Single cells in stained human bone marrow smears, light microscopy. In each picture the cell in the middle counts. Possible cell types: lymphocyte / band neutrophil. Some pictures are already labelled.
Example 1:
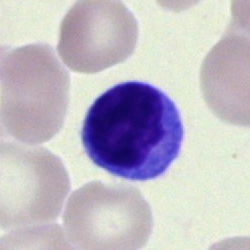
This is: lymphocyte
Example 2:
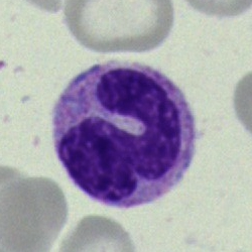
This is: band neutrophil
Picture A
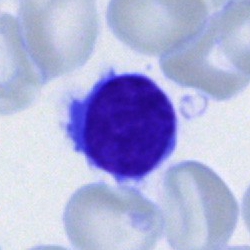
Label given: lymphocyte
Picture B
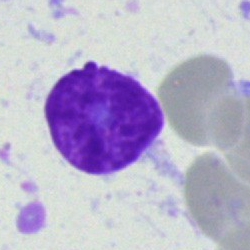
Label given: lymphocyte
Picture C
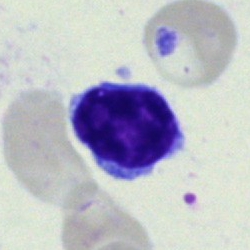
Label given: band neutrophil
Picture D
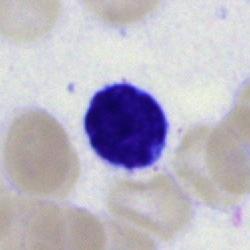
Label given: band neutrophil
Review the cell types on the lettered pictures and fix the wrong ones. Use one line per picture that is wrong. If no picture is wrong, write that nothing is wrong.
C: not band neutrophil but lymphocyte
D: not band neutrophil but lymphocyte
